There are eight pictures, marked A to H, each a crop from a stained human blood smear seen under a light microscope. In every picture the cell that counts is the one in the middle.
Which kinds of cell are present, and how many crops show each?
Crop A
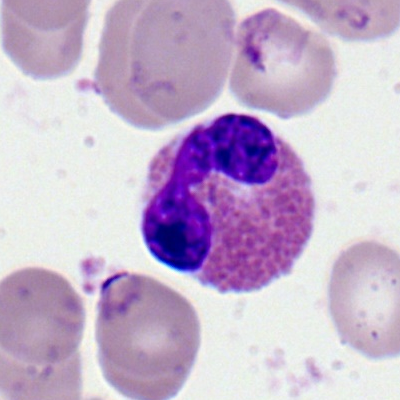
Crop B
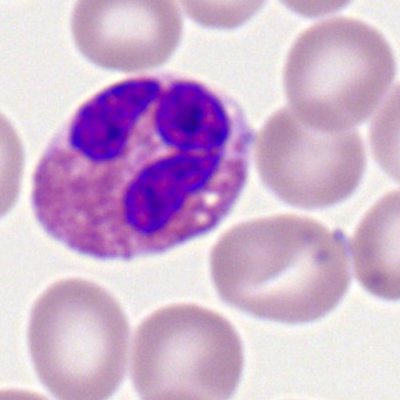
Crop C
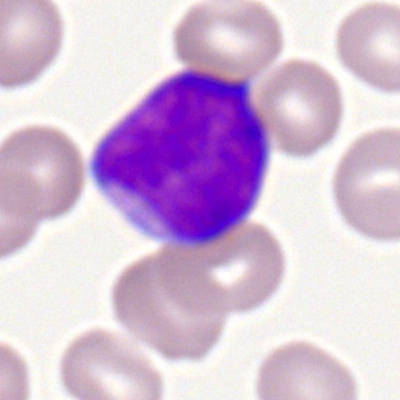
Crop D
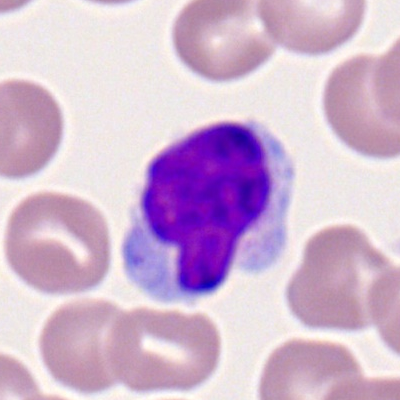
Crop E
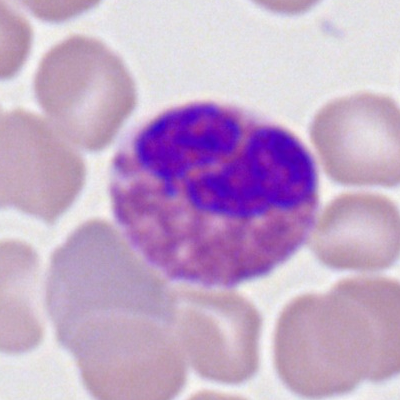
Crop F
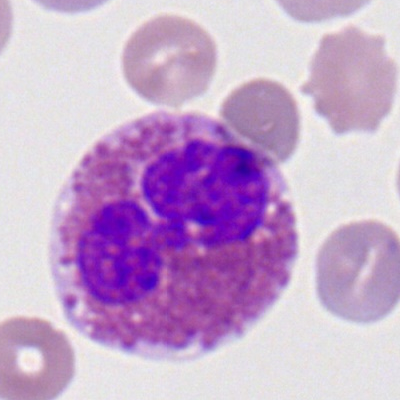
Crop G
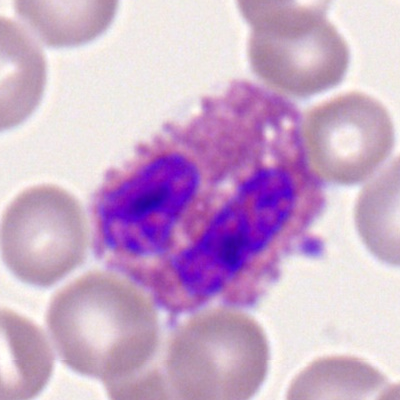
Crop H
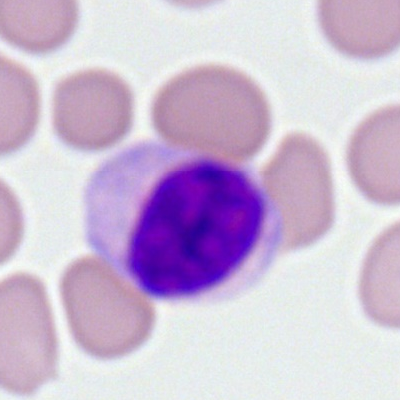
eosinophil: 5
lymphocyte: 2
myeloblast: 1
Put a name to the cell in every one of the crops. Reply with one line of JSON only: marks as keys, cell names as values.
{"A": "eosinophil", "B": "eosinophil", "C": "myeloblast", "D": "lymphocyte", "E": "eosinophil", "F": "eosinophil", "G": "eosinophil", "H": "lymphocyte"}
